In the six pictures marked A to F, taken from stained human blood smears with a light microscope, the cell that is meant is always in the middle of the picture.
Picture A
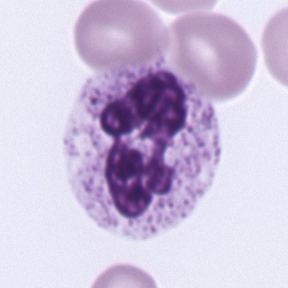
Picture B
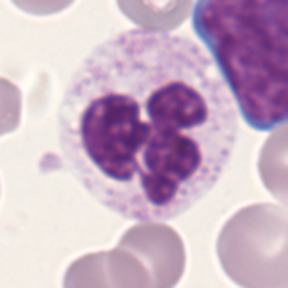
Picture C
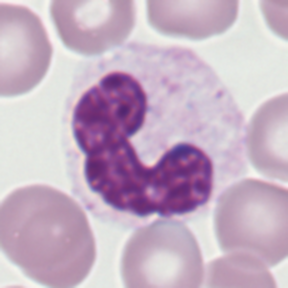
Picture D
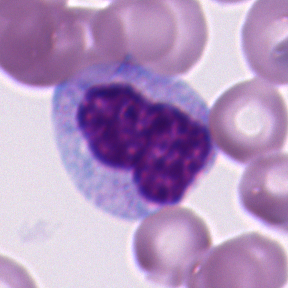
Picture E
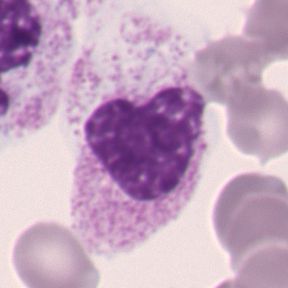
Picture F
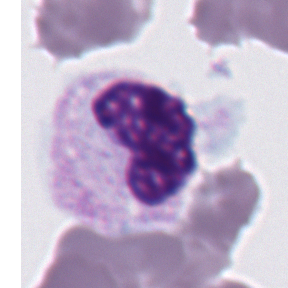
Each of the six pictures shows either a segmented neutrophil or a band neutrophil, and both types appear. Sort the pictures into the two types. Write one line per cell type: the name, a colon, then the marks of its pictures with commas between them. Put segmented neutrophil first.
segmented neutrophil: A, B, E, F
band neutrophil: C, D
